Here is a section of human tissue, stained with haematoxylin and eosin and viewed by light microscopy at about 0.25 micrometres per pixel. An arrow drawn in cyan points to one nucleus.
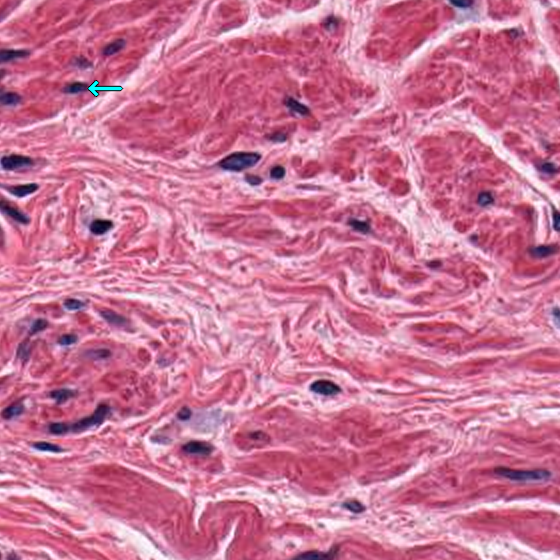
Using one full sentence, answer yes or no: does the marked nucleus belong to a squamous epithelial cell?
No, the marked nucleus is not the nucleus belonging to a squamous epithelial cell.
